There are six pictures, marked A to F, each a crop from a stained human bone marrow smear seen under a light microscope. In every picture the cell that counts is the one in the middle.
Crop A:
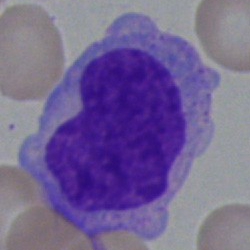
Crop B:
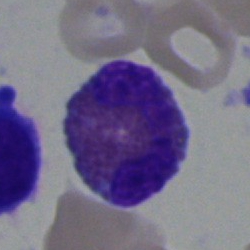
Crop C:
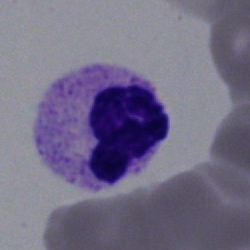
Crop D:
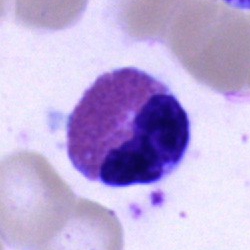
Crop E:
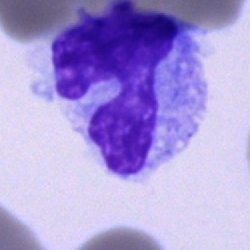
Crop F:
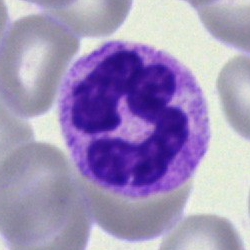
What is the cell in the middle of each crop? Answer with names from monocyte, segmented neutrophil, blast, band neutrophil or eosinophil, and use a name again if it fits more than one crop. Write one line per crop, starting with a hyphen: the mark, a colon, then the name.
- A: monocyte
- B: eosinophil
- C: segmented neutrophil
- D: eosinophil
- E: monocyte
- F: segmented neutrophil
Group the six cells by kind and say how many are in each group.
monocyte: 2
eosinophil: 2
segmented neutrophil: 2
